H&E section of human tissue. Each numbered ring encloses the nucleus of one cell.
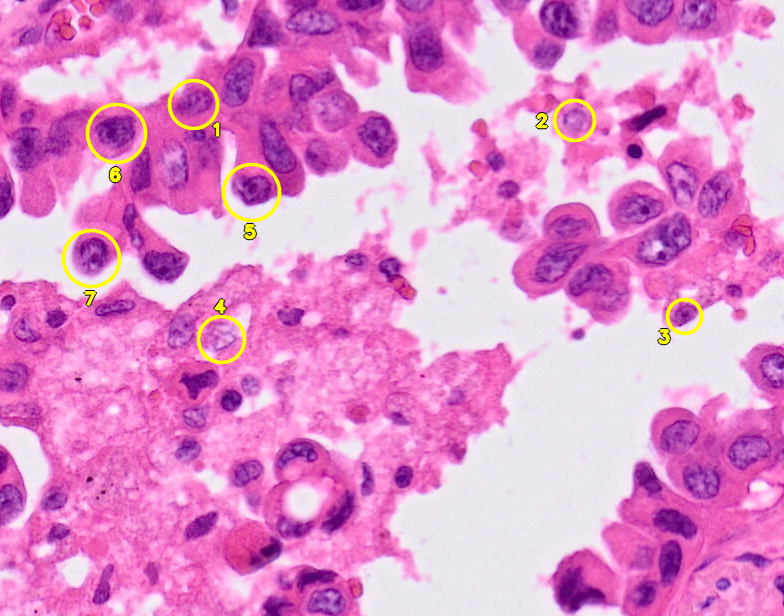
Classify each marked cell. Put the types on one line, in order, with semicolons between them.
carcinoma cell; macrophage or monocyte; macrophage or monocyte; macrophage or monocyte; carcinoma cell; carcinoma cell; carcinoma cell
